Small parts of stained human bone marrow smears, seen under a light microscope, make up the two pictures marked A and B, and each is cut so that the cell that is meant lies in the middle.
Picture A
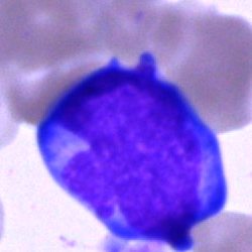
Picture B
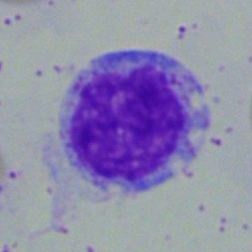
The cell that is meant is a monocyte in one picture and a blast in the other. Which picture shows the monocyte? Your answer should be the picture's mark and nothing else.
B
